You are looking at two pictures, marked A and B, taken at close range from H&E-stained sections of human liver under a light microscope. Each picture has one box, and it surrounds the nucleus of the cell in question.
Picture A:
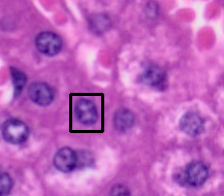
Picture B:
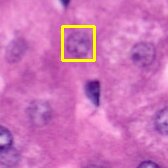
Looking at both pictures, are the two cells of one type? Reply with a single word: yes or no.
yes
